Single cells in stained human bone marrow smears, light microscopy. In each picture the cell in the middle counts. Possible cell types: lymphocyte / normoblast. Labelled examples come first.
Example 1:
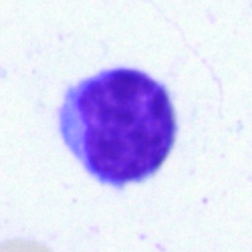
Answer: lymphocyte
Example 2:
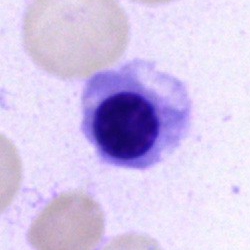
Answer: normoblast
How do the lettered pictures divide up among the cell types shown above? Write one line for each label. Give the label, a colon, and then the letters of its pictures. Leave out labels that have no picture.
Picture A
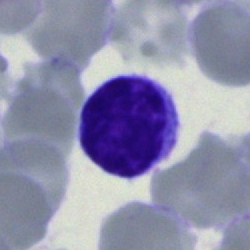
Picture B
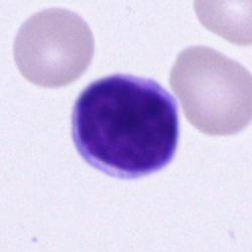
lymphocyte: A, B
